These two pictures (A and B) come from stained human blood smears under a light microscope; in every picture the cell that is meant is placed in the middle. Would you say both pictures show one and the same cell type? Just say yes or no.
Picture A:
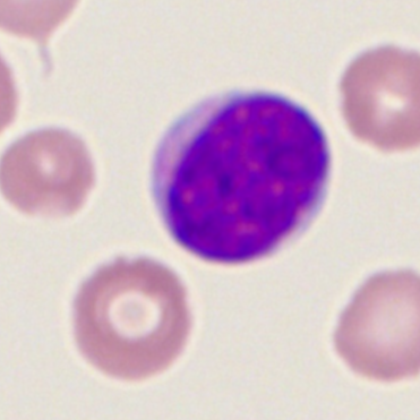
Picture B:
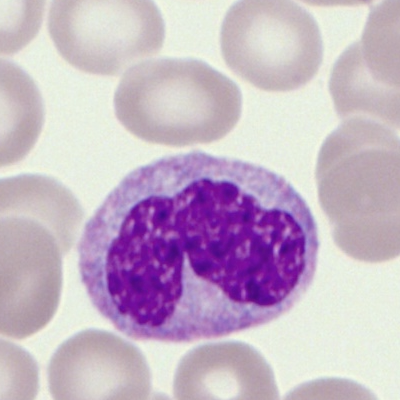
no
